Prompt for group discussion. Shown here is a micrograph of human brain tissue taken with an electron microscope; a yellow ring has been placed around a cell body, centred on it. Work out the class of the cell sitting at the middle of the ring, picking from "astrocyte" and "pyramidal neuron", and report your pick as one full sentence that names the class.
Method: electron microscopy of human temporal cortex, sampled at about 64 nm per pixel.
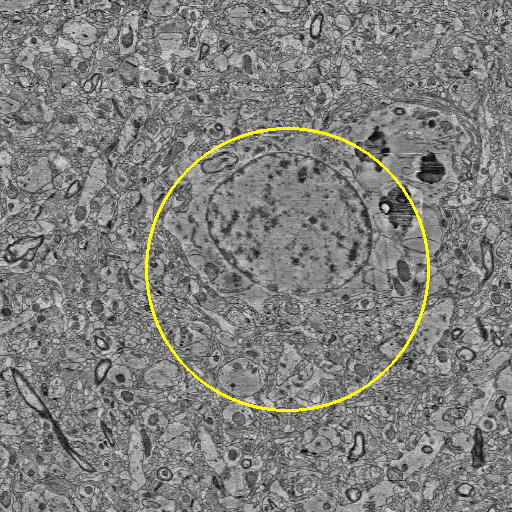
The cell sitting at the middle of the yellow ring is an astrocyte.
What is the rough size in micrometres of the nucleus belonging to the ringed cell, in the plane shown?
Roughly 11 by 9 micrometres is the size of the nucleus in this plane.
